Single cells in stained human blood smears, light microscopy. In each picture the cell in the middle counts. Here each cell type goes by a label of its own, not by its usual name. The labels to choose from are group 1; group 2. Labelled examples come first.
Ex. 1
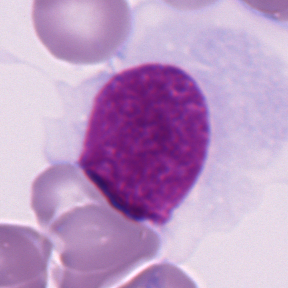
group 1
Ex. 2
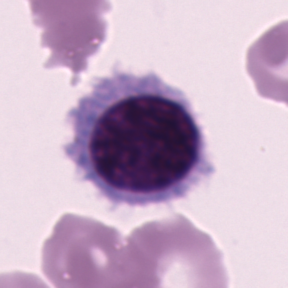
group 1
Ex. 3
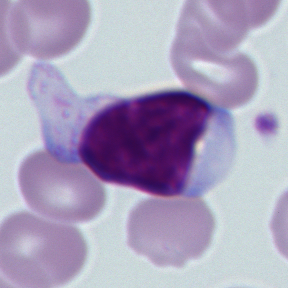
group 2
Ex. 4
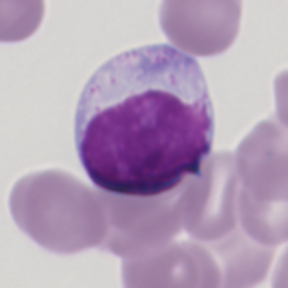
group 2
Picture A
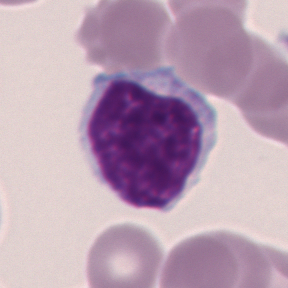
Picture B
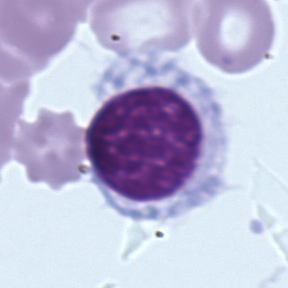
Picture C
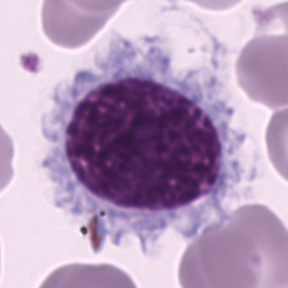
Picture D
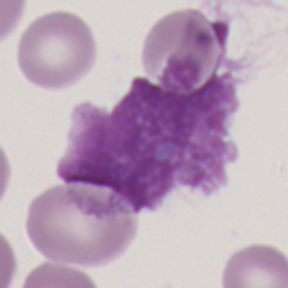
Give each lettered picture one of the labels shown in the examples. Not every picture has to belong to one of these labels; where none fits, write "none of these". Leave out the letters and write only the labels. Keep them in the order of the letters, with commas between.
group 2, group 1, group 1, none of these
